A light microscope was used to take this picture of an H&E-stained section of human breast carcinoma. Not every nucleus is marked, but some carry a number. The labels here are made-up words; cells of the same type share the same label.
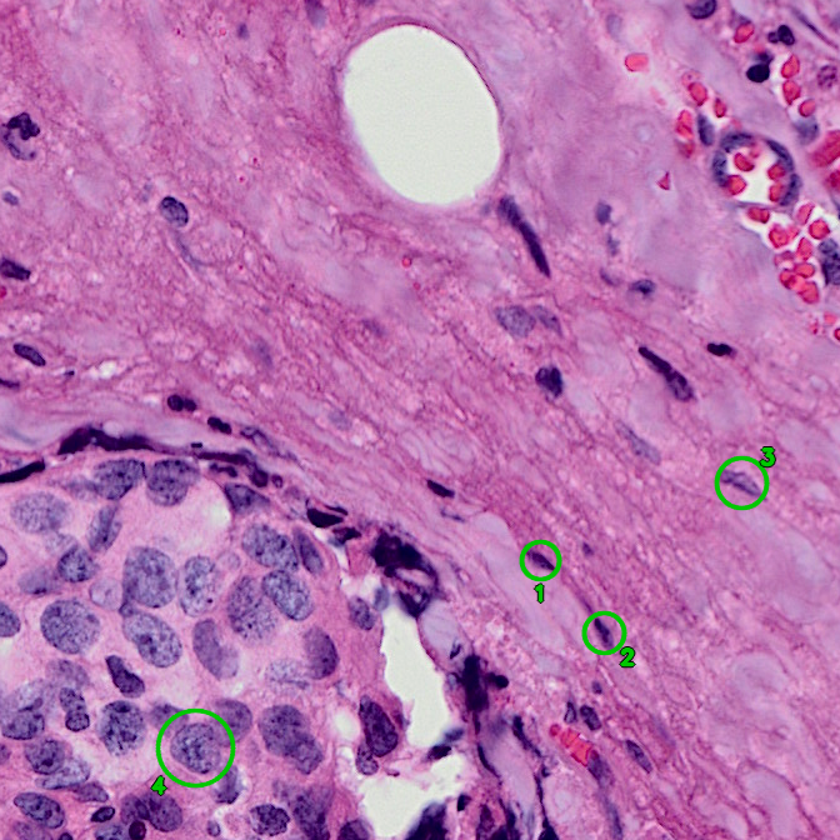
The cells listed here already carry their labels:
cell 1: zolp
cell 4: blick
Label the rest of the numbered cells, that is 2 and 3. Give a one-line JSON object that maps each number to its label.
{"2": "zolp", "3": "zolp"}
